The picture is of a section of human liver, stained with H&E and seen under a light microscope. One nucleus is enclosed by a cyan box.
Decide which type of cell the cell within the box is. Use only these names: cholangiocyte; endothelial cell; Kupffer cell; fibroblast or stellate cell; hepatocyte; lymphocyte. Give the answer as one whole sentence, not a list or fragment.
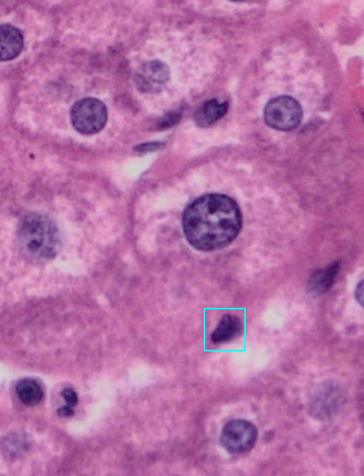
In cell-type terms, the cell within the box is a fibroblast or stellate cell.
